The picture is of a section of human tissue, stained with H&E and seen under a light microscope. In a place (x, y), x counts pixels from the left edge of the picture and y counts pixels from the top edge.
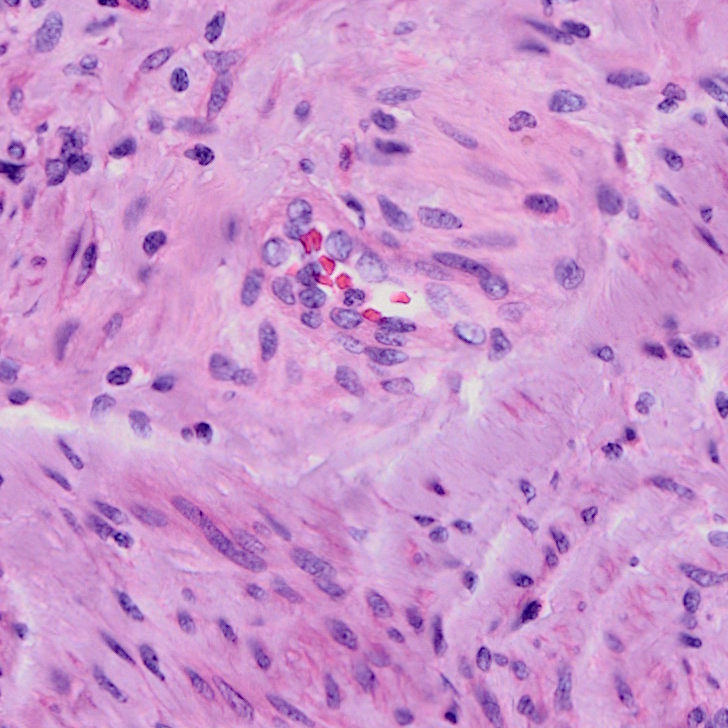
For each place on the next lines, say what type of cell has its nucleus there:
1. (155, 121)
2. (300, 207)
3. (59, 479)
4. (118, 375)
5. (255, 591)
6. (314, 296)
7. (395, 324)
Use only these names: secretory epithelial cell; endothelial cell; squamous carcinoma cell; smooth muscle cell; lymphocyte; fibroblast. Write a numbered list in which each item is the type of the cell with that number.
1. fibroblast
2. endothelial cell
3. fibroblast
4. lymphocyte
5. smooth muscle cell
6. endothelial cell
7. endothelial cell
